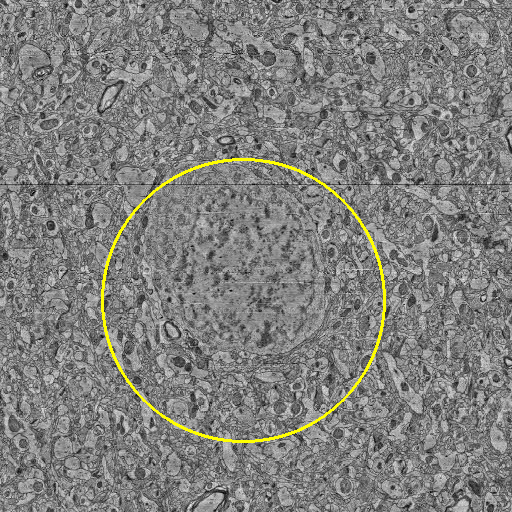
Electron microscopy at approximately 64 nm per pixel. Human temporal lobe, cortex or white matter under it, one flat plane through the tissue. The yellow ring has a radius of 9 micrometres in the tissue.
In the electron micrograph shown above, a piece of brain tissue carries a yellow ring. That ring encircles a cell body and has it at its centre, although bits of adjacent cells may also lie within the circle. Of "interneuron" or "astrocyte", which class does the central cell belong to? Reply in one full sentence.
The cell body at the centre of the yellow ring belongs to an interneuron.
